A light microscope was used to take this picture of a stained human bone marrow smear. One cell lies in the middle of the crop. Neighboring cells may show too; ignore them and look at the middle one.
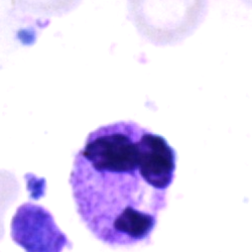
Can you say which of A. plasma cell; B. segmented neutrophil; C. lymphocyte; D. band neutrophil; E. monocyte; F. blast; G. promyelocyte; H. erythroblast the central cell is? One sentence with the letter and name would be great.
The central cell in this crop is a segmented neutrophil, corresponding to option B, the correct option.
